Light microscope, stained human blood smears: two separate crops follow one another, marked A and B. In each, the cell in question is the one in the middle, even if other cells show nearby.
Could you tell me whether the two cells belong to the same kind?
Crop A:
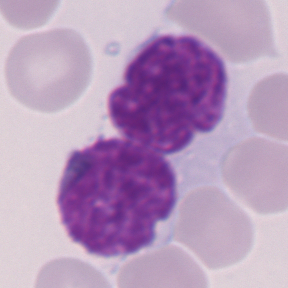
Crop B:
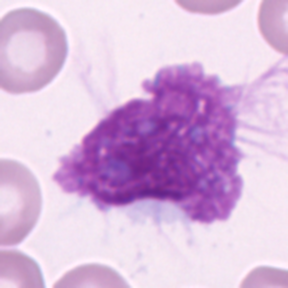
no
